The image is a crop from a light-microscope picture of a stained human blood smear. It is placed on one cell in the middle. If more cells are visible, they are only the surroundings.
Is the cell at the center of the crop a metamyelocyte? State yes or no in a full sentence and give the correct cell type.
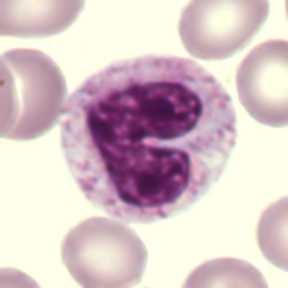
No, in the middle of the crop there is a band neutrophil rather than a metamyelocyte.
